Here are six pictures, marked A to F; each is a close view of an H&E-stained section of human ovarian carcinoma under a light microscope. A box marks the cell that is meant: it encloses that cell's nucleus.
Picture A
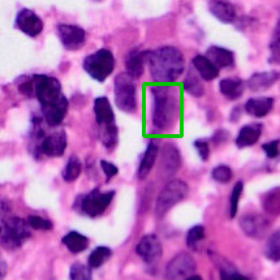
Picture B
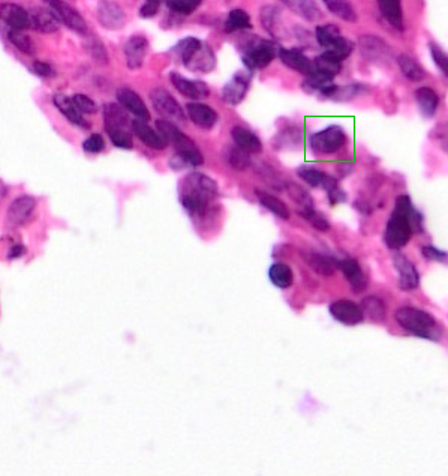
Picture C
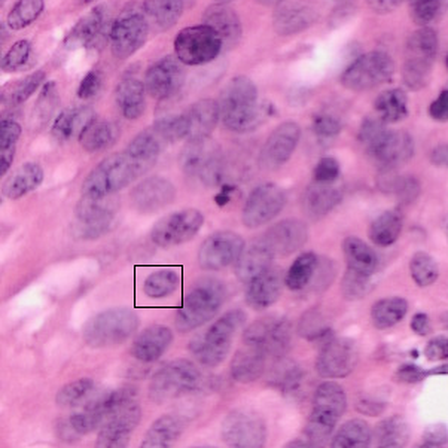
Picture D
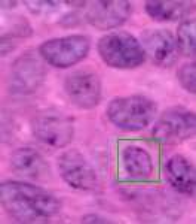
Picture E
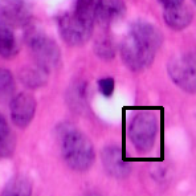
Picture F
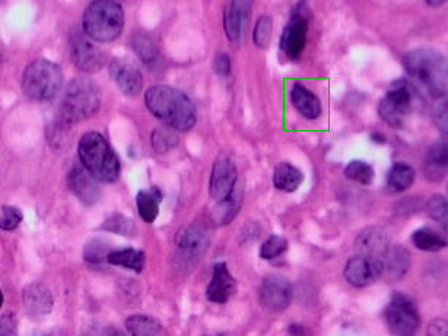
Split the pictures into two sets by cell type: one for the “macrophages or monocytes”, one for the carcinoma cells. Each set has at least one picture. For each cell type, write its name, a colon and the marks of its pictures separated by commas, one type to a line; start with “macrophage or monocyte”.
macrophage or monocyte: C, D, F
carcinoma cell: A, B, E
